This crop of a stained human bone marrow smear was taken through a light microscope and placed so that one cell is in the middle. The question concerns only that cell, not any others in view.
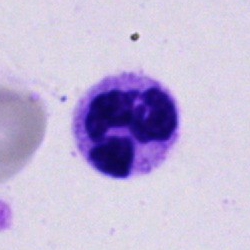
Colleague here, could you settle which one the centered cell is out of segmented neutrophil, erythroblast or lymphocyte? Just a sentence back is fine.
The crop's centre is taken up by a segmented neutrophil.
